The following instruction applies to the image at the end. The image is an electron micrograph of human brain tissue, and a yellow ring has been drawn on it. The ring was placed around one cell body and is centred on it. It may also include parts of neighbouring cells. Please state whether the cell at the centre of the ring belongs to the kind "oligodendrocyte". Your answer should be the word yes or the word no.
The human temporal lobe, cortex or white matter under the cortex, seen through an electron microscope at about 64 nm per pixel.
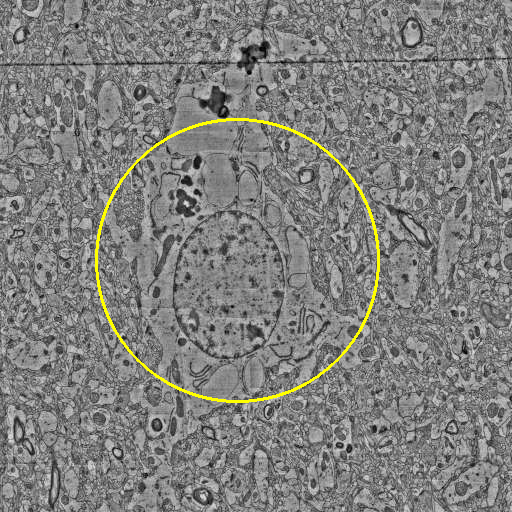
no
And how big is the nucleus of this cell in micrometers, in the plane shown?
Approximately 9 by 7 micrometers in this plane.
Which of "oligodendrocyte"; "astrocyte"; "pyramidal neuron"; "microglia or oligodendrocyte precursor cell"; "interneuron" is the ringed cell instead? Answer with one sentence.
It is an astrocyte that the ring is centred on.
